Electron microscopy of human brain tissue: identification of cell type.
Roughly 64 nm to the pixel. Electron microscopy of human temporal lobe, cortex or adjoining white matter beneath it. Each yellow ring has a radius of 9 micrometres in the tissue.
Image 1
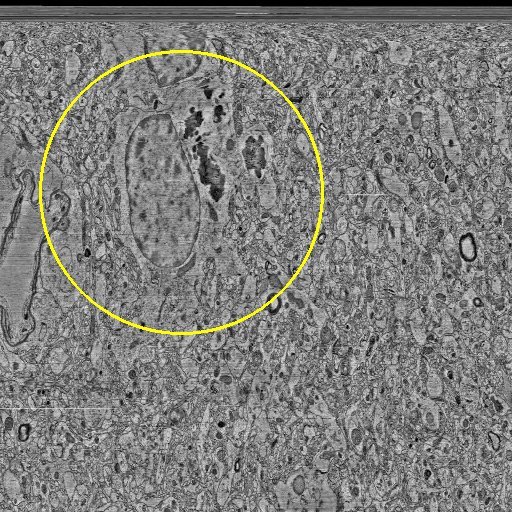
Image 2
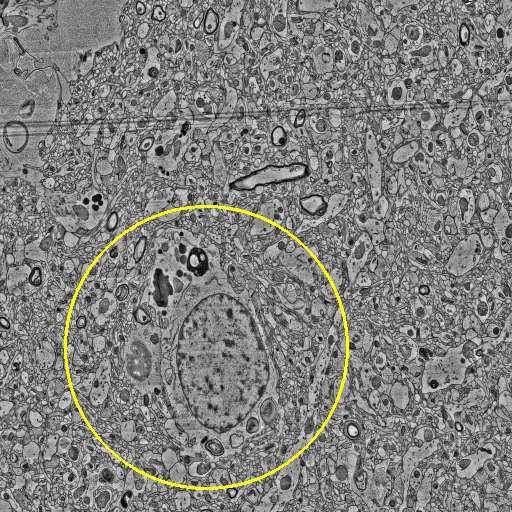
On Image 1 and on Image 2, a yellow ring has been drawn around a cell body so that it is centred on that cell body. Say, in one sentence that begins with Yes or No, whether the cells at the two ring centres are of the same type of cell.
Yes, both cells are the same type of cell.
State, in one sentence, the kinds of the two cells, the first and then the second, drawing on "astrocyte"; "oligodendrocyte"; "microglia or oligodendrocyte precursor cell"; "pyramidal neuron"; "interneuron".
Each cell, in the first picture and the second, is an astrocyte.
